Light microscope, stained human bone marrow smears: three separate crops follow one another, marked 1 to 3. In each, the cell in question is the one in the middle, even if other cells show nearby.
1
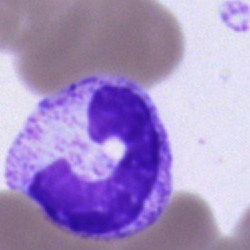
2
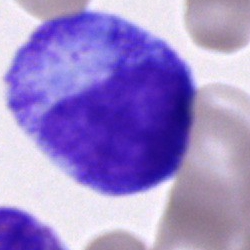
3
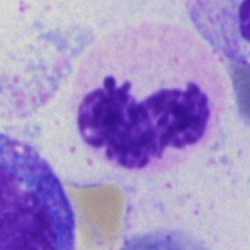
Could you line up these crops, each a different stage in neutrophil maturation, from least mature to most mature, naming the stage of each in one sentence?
When lined up from least to most mature, the crops are crop 2 (a promyelocyte), crop 1 (a band neutrophil) and crop 3 (a segmented neutrophil).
